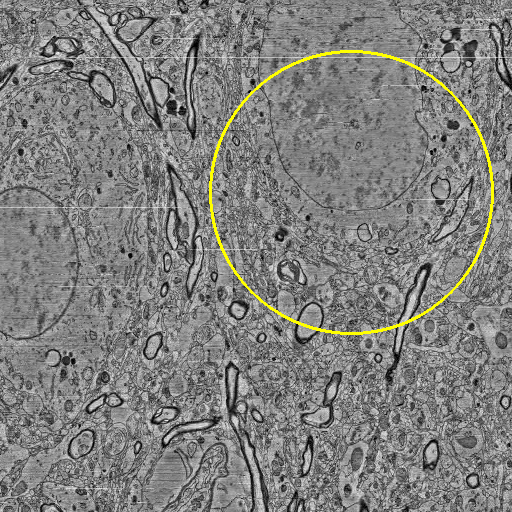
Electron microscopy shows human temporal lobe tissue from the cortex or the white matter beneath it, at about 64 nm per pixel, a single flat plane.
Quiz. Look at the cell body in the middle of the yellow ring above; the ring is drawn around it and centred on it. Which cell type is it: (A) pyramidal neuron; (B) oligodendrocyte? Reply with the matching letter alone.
A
